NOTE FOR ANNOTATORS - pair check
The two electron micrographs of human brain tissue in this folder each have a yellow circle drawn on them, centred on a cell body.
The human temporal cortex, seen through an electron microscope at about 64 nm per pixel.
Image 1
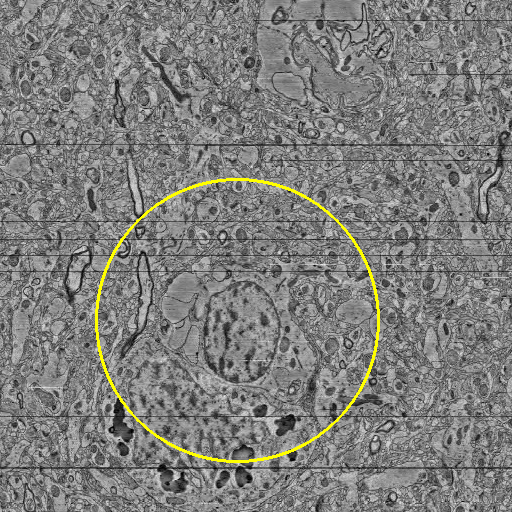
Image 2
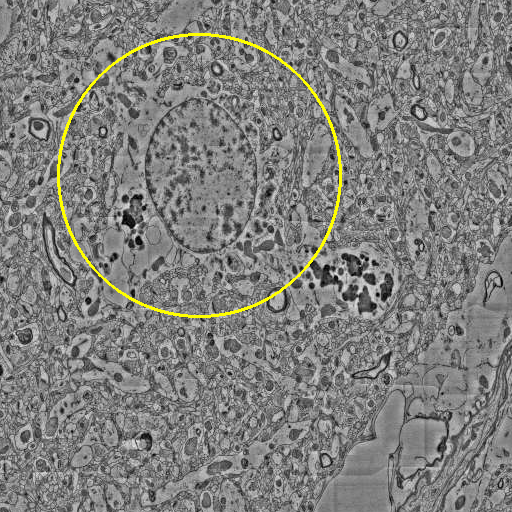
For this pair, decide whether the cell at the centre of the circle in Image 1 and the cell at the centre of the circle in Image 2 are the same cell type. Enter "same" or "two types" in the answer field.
same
